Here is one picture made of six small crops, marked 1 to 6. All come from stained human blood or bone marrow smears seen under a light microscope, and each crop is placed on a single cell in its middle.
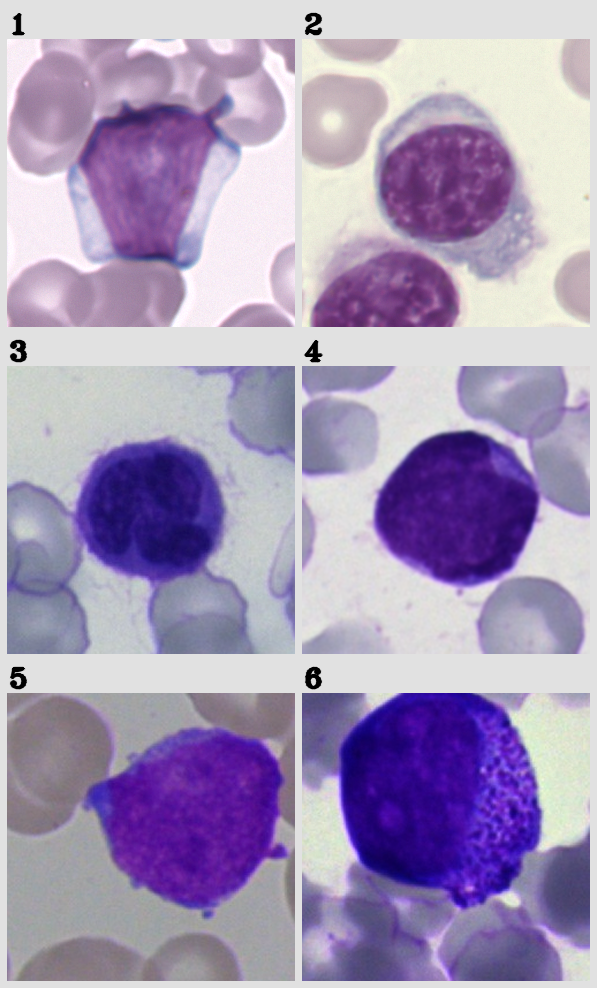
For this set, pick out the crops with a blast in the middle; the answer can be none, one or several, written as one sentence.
Crops 1, 4 and 5 are the ones showing blasts.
